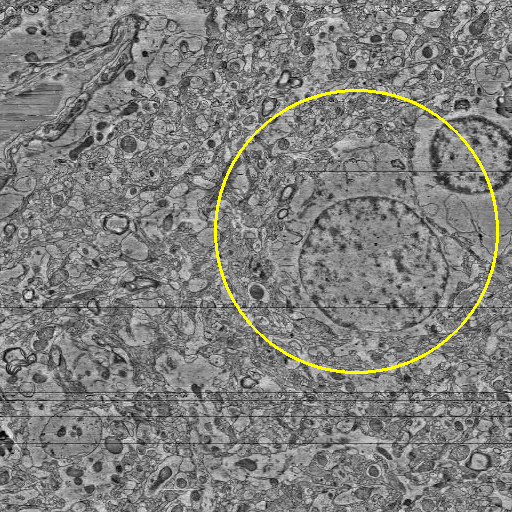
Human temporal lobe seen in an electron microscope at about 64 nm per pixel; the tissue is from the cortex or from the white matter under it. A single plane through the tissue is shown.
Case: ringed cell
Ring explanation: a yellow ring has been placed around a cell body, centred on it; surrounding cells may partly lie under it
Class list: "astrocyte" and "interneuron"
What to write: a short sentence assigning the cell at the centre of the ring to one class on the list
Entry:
The cell at the ring's centre is an astrocyte.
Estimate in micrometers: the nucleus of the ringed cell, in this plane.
In this plane the nucleus is about 9 micrometres across.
